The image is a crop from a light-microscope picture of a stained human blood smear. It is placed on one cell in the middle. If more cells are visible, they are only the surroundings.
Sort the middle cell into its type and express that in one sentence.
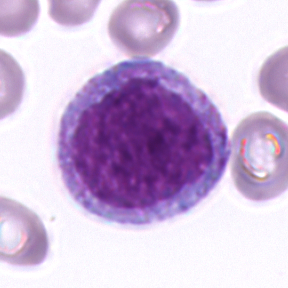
What sits at the centre of this crop is a promyelocyte.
